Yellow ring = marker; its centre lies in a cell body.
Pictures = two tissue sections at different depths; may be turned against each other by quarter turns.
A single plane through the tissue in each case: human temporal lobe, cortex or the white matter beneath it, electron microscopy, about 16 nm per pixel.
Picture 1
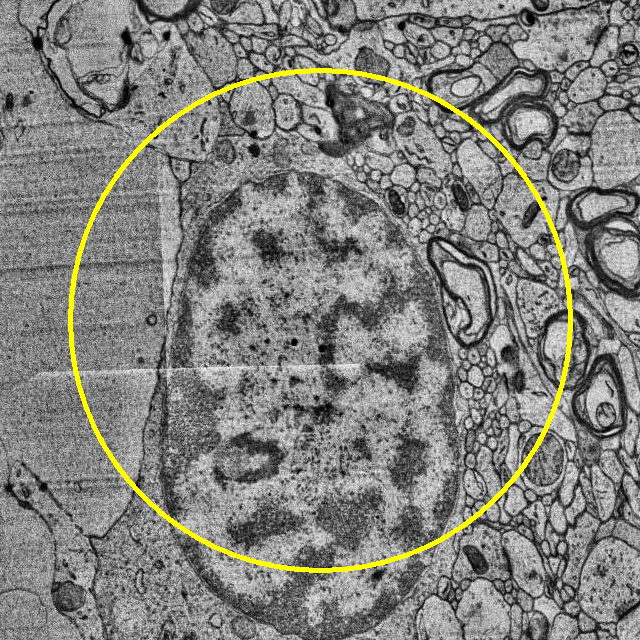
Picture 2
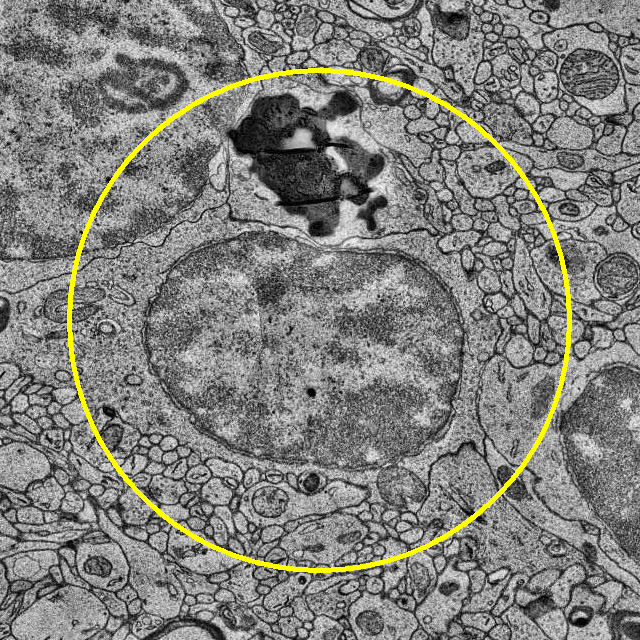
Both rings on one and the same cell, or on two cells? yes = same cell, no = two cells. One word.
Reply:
no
